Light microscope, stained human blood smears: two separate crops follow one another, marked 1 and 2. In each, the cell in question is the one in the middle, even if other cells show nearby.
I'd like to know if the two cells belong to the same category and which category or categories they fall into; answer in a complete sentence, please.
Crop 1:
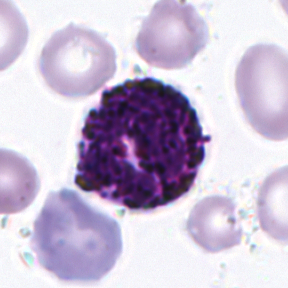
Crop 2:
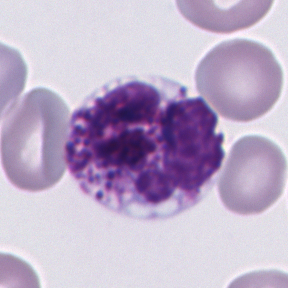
Yes, basophils are the cells shown in both crops.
